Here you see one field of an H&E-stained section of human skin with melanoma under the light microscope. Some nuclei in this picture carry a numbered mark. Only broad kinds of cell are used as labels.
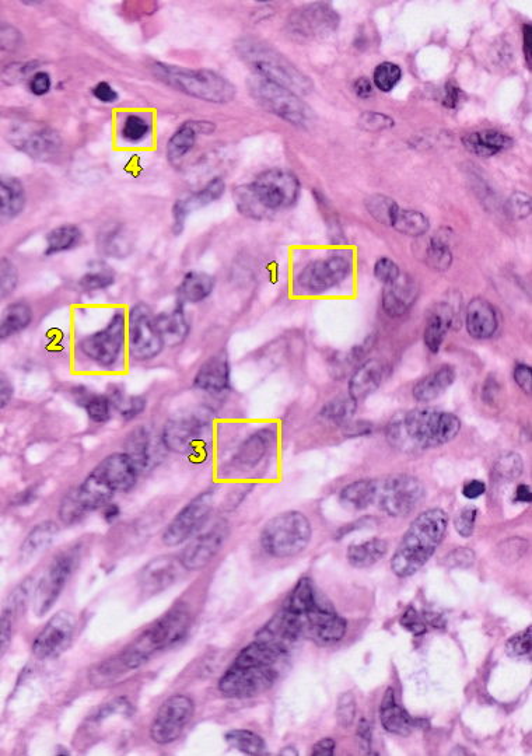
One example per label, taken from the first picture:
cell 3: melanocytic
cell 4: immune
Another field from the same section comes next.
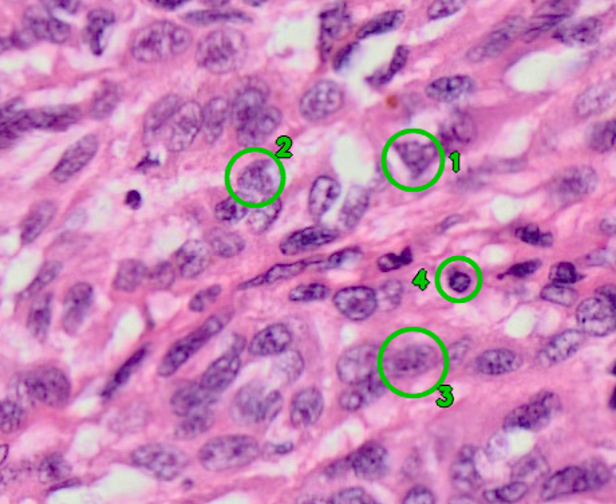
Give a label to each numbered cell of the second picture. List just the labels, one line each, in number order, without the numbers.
melanocytic
melanocytic
melanocytic
immune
